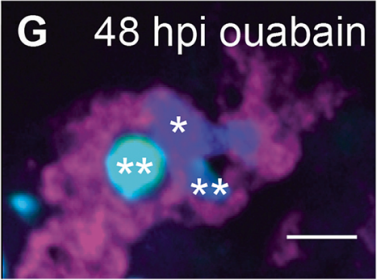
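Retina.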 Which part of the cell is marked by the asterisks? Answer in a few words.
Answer: Multiple nuclei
